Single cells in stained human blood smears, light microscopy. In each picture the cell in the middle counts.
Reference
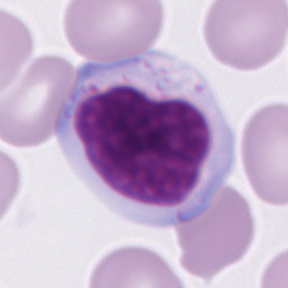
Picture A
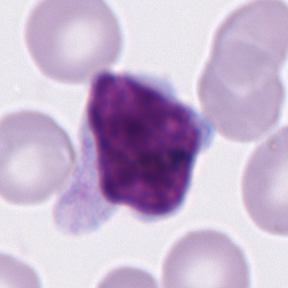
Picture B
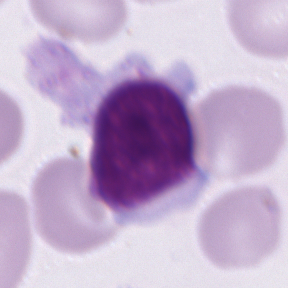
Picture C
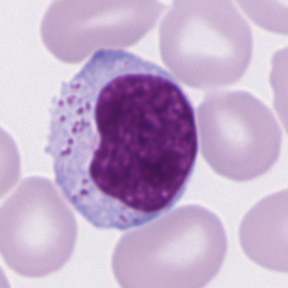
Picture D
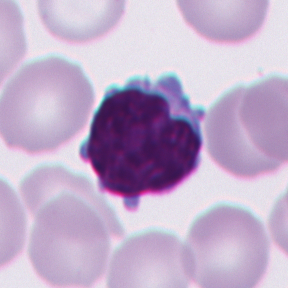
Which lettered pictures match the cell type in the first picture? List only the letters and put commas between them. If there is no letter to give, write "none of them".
A, B, C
